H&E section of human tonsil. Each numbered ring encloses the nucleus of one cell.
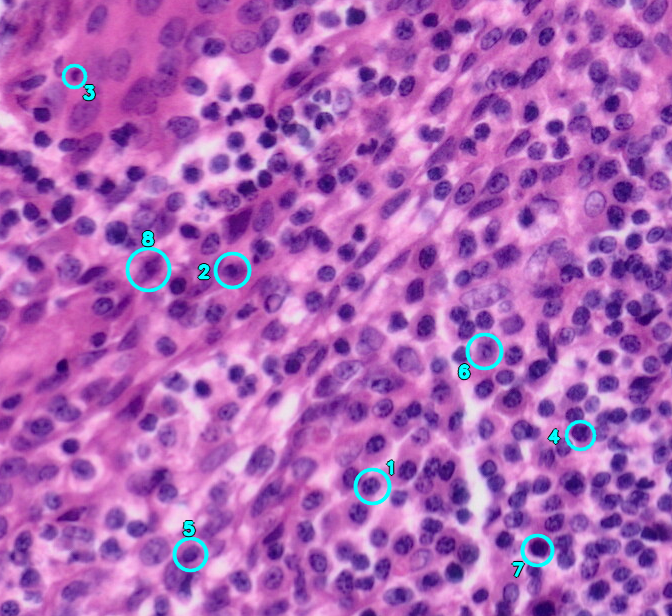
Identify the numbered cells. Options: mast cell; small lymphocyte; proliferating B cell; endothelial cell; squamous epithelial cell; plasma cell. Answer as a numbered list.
1. plasma cell
2. squamous epithelial cell
3. squamous epithelial cell
4. plasma cell
5. squamous epithelial cell
6. plasma cell
7. plasma cell
8. squamous epithelial cell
